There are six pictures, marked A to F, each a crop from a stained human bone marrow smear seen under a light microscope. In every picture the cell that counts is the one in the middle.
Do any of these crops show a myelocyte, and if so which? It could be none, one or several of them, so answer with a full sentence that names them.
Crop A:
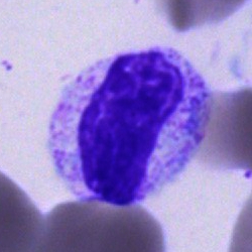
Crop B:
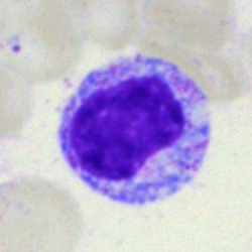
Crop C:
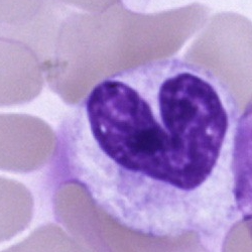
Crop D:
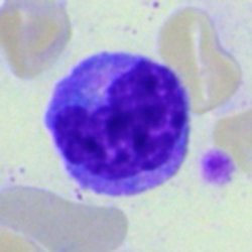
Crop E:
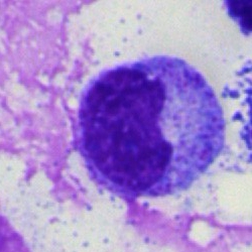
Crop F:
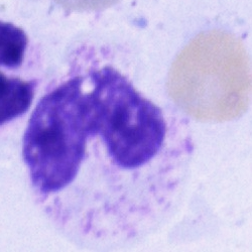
Those crops that show myelocytes are B and E.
